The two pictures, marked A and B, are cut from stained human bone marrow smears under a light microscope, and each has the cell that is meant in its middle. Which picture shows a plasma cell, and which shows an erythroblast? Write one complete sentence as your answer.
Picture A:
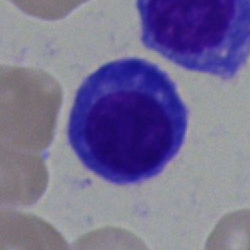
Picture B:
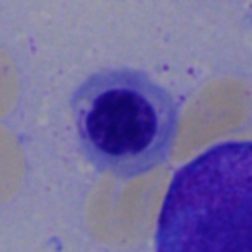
It is picture A that shows a plasma cell, and picture B that shows an erythroblast.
